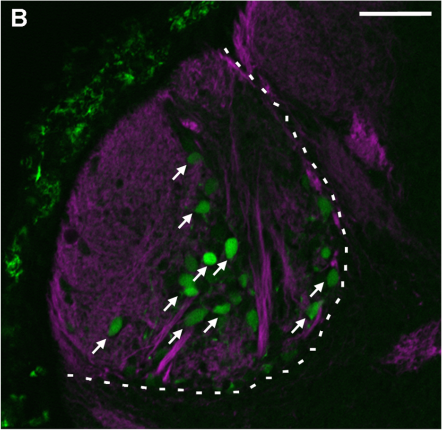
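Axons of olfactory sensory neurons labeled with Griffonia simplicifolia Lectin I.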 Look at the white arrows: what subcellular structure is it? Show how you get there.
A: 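Each arrow points to a round to oval bright green profile. They lie scattered within the purple outlined region.
Hence: cell bodies.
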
